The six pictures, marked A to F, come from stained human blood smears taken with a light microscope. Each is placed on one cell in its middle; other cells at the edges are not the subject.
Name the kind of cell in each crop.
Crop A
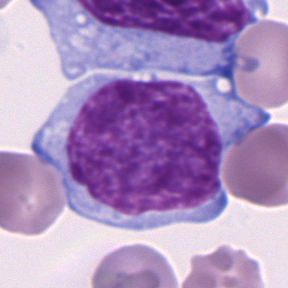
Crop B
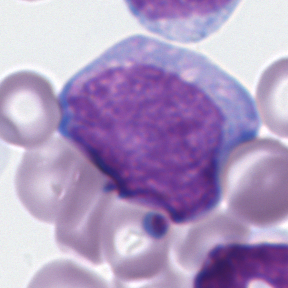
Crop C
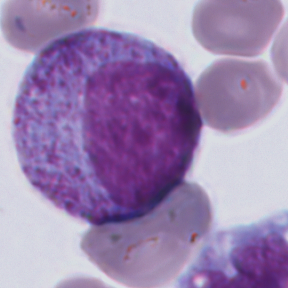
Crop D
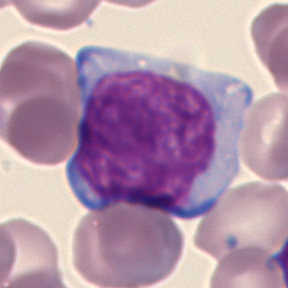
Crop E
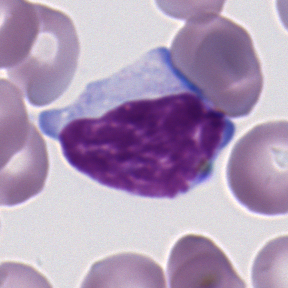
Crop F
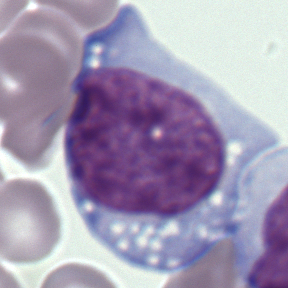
A: blast
B: promyelocyte
C: promyelocyte
D: blast
E: blast
F: blast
